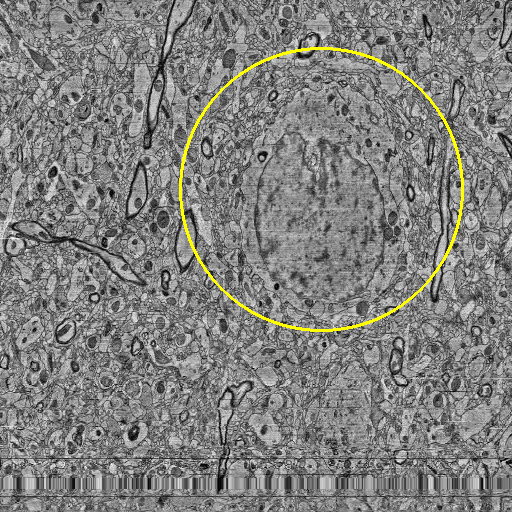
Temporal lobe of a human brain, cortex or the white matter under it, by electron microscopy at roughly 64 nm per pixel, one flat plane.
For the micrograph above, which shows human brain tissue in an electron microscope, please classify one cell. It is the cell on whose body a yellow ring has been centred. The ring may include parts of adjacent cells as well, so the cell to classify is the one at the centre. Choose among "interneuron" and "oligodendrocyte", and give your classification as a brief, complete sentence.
I classify this cell as an interneuron.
